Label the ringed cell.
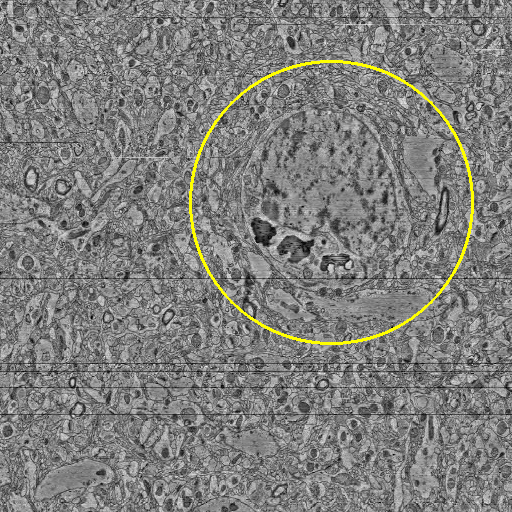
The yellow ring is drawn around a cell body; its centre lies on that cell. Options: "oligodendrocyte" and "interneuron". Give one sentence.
The ringed cell is an interneuron.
